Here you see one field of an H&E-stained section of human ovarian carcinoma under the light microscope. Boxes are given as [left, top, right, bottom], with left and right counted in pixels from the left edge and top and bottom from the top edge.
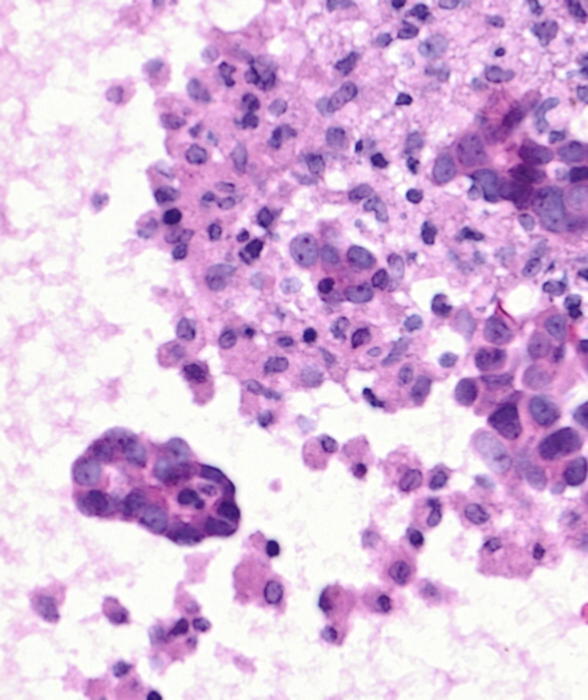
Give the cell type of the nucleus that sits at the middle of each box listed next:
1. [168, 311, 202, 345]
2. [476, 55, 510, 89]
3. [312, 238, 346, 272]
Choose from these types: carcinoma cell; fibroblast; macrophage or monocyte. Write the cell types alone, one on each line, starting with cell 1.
macrophage or monocyte
macrophage or monocyte
carcinoma cell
